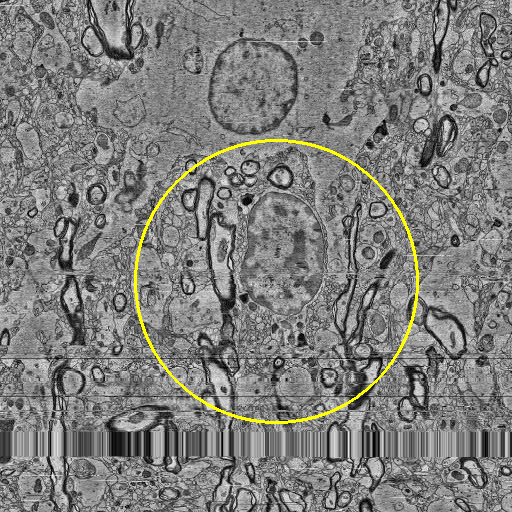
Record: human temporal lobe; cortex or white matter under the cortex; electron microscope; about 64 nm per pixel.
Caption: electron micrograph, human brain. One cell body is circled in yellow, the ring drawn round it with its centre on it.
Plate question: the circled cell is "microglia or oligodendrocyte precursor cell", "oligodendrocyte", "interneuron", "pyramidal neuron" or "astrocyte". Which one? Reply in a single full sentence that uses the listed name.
The yellow ring on the plate is centred on a microglial cell or oligodendrocyte precursor cell, going by the listed names.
